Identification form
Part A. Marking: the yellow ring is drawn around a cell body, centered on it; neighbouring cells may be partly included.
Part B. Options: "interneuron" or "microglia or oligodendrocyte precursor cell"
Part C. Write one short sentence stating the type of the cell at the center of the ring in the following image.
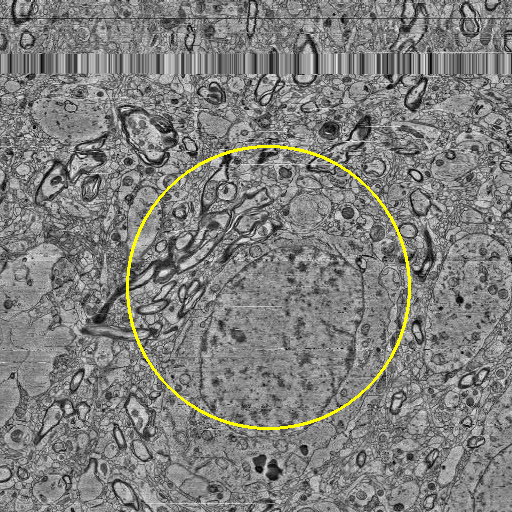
The center of the ring holds an interneuron.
